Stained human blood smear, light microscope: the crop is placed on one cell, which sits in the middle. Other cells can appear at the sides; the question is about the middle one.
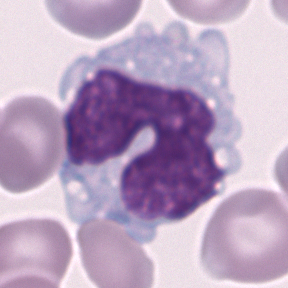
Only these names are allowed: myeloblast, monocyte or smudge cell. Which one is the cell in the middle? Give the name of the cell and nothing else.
monocyte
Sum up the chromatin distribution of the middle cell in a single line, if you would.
The chromatin here is fine and lacks any coarse clumps.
